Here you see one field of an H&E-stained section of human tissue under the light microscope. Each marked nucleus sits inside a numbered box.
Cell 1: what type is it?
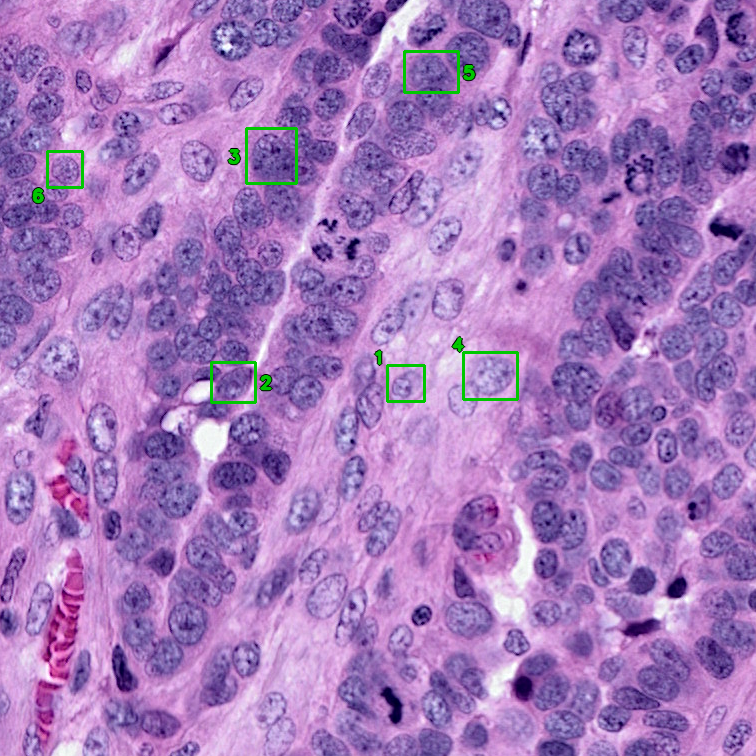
fibroblast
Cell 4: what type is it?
fibroblast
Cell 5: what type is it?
carcinoma cell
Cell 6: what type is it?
carcinoma cell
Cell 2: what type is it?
carcinoma cell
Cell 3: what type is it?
carcinoma cell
